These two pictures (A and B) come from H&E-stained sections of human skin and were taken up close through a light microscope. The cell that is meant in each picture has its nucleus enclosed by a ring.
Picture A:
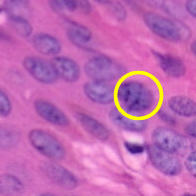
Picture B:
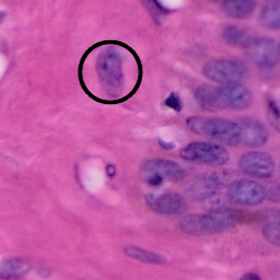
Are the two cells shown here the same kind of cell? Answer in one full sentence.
No; the cell in picture A is a basal keratinocyte, while the one in picture B is a fibroblast.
